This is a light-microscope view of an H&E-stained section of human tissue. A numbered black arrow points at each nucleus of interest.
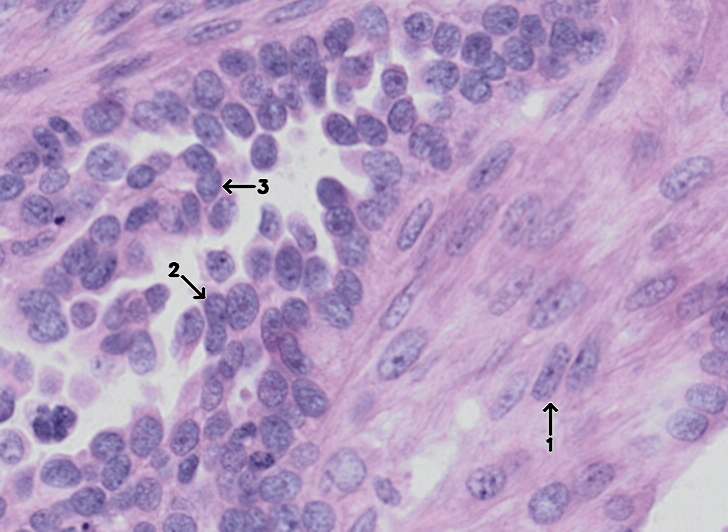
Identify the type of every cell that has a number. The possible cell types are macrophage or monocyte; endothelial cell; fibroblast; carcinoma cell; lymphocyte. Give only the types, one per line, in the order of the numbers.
fibroblast
carcinoma cell
carcinoma cell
